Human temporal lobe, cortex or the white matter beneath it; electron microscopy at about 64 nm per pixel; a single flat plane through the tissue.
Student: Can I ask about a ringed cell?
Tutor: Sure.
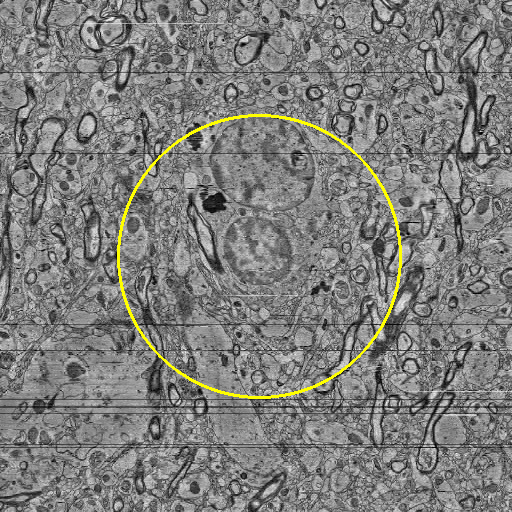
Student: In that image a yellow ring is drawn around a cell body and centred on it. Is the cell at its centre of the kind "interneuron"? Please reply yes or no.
No, the cell is of another kind.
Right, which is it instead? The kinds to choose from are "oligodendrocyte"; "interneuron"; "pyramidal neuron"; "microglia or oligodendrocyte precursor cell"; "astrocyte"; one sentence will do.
The ring holds an oligodendrocyte at its centre.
